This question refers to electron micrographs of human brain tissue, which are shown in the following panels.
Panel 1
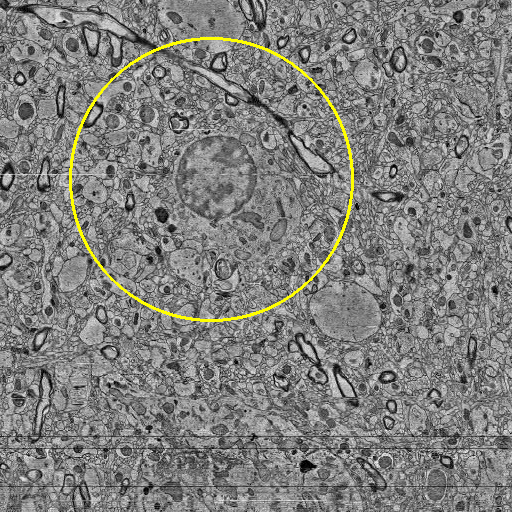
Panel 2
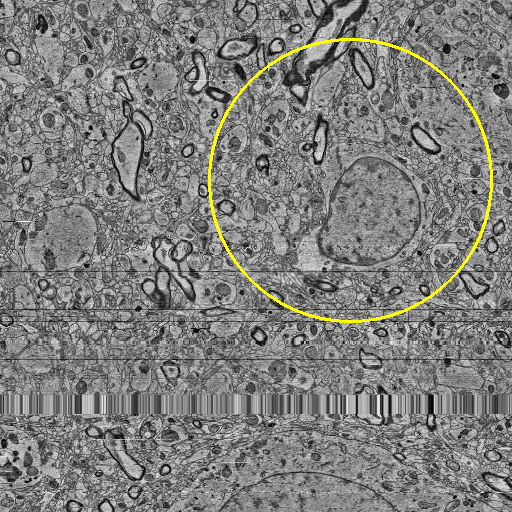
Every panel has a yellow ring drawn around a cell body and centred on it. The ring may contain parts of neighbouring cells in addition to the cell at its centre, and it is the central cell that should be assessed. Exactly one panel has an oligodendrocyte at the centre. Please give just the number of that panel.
1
